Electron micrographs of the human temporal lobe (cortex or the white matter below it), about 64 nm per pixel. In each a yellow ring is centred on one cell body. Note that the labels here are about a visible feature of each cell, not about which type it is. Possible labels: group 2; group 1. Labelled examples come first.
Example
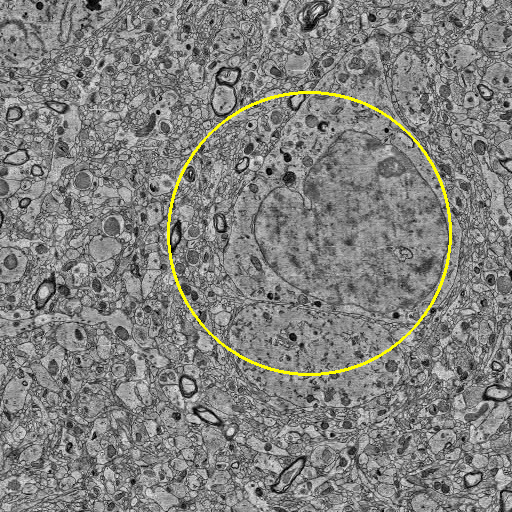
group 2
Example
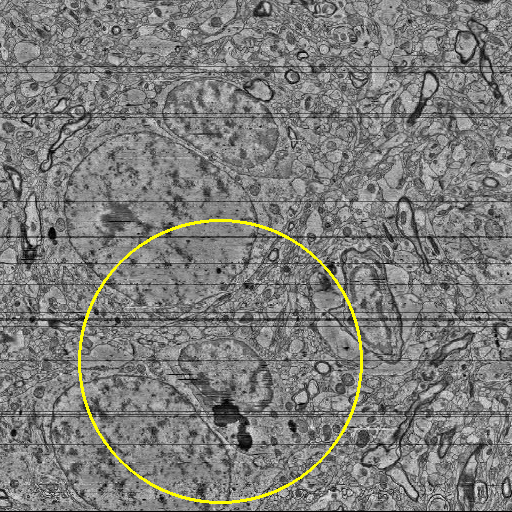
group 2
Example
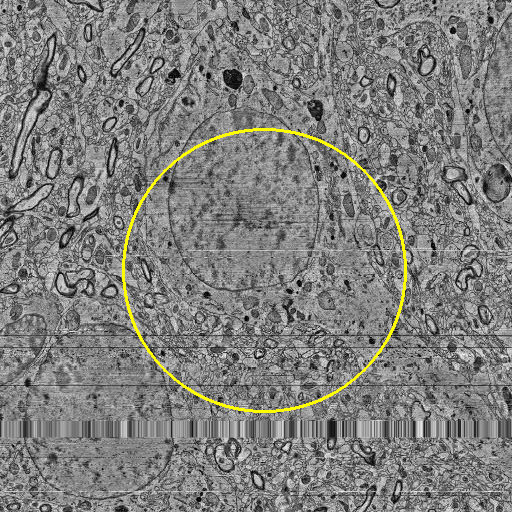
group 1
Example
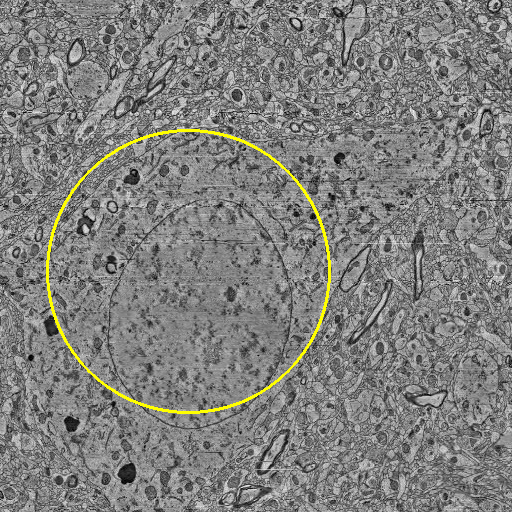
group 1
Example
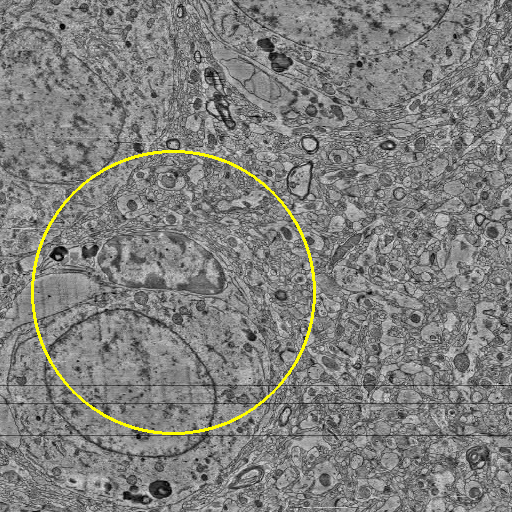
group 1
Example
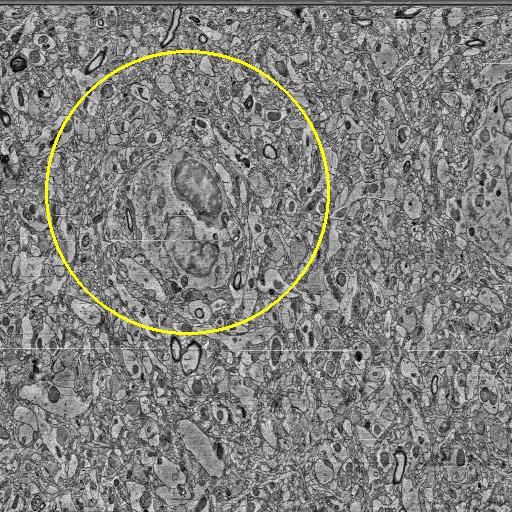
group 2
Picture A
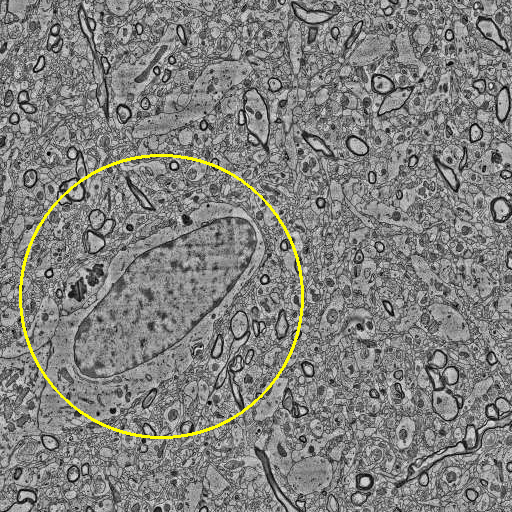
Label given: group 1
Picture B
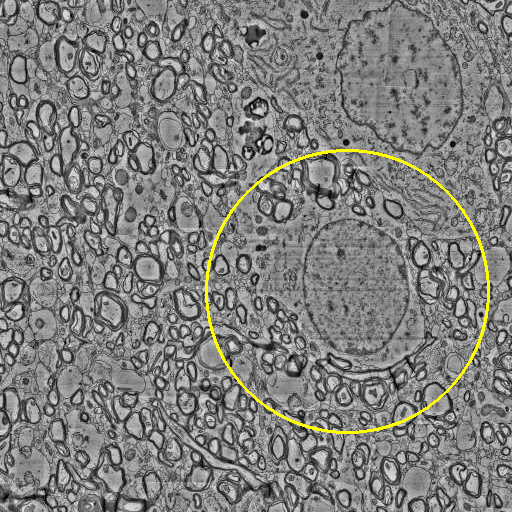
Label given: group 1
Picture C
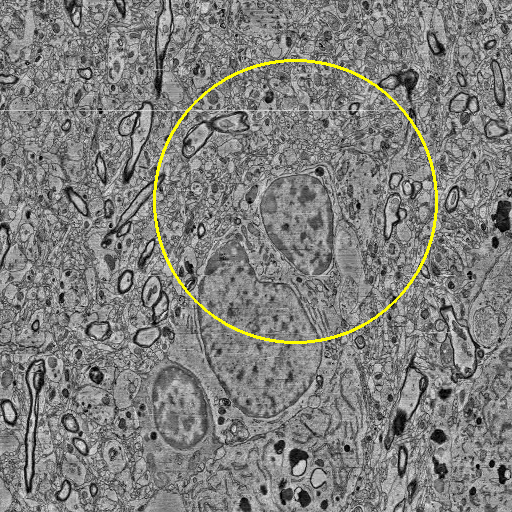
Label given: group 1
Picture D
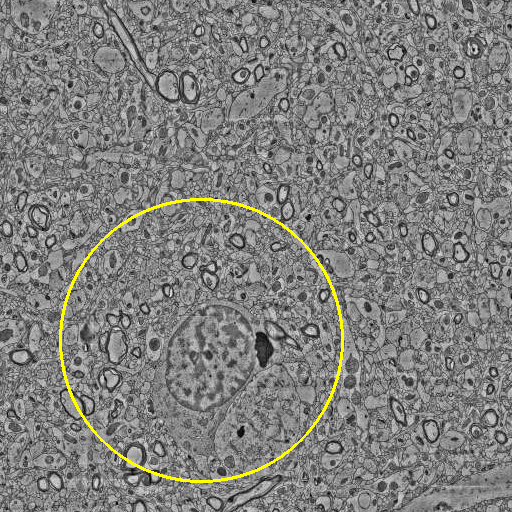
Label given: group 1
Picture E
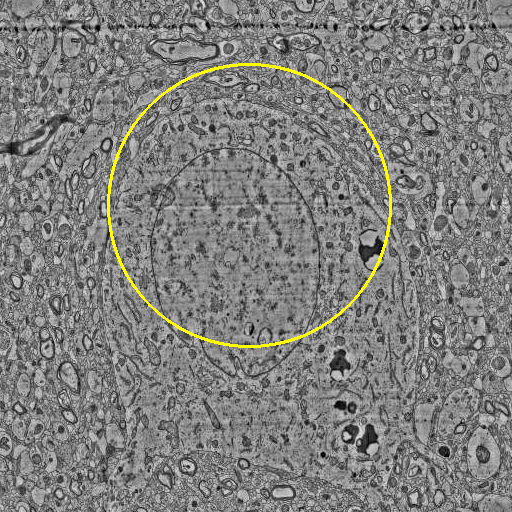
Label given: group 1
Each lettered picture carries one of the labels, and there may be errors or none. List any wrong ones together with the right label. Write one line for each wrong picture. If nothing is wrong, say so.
All correct.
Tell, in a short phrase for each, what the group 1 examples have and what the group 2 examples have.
group 1, smooth nuclear envelopes without deep folds; group 2, deeply folded or indented nuclear envelopes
